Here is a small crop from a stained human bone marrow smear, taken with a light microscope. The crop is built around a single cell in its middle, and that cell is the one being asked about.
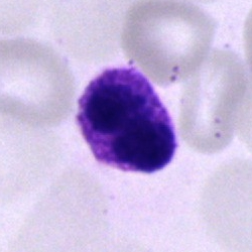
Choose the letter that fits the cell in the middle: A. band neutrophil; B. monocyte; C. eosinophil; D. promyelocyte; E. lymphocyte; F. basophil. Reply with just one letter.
F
